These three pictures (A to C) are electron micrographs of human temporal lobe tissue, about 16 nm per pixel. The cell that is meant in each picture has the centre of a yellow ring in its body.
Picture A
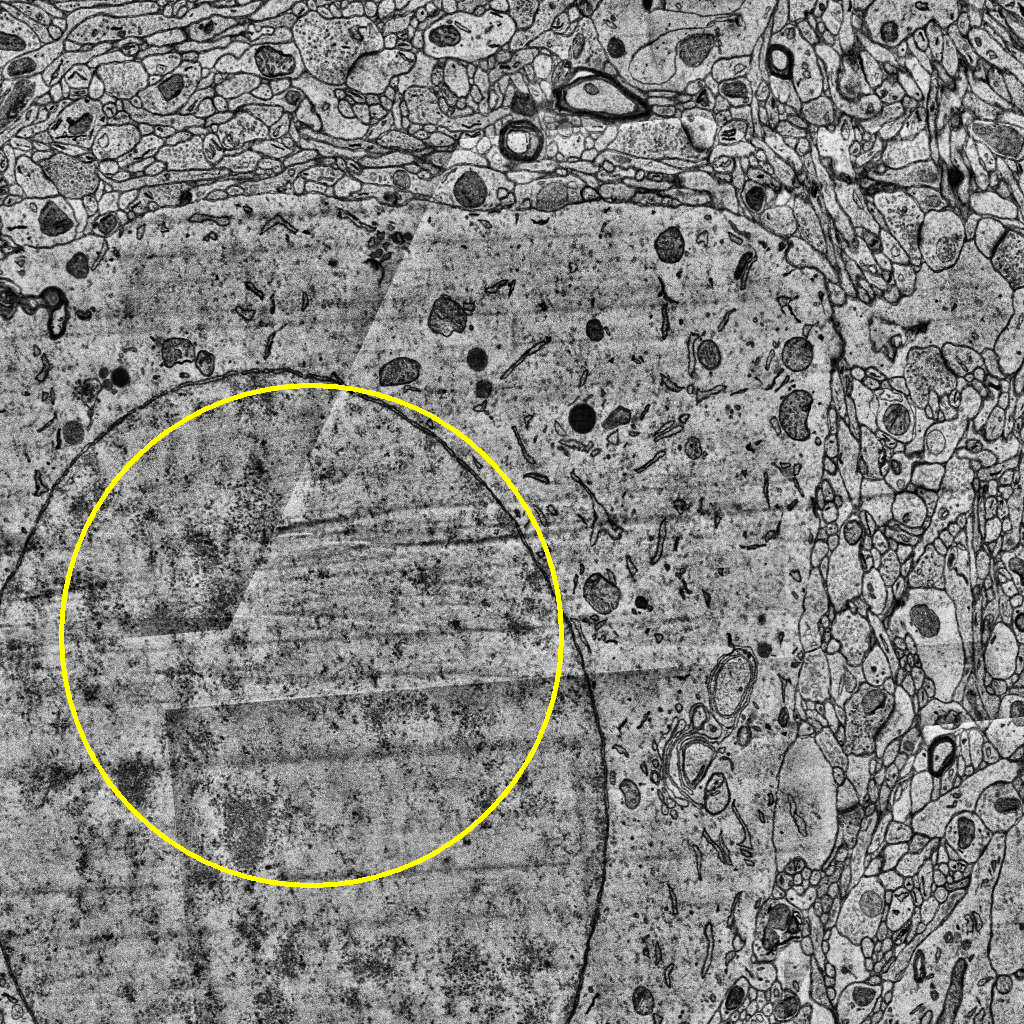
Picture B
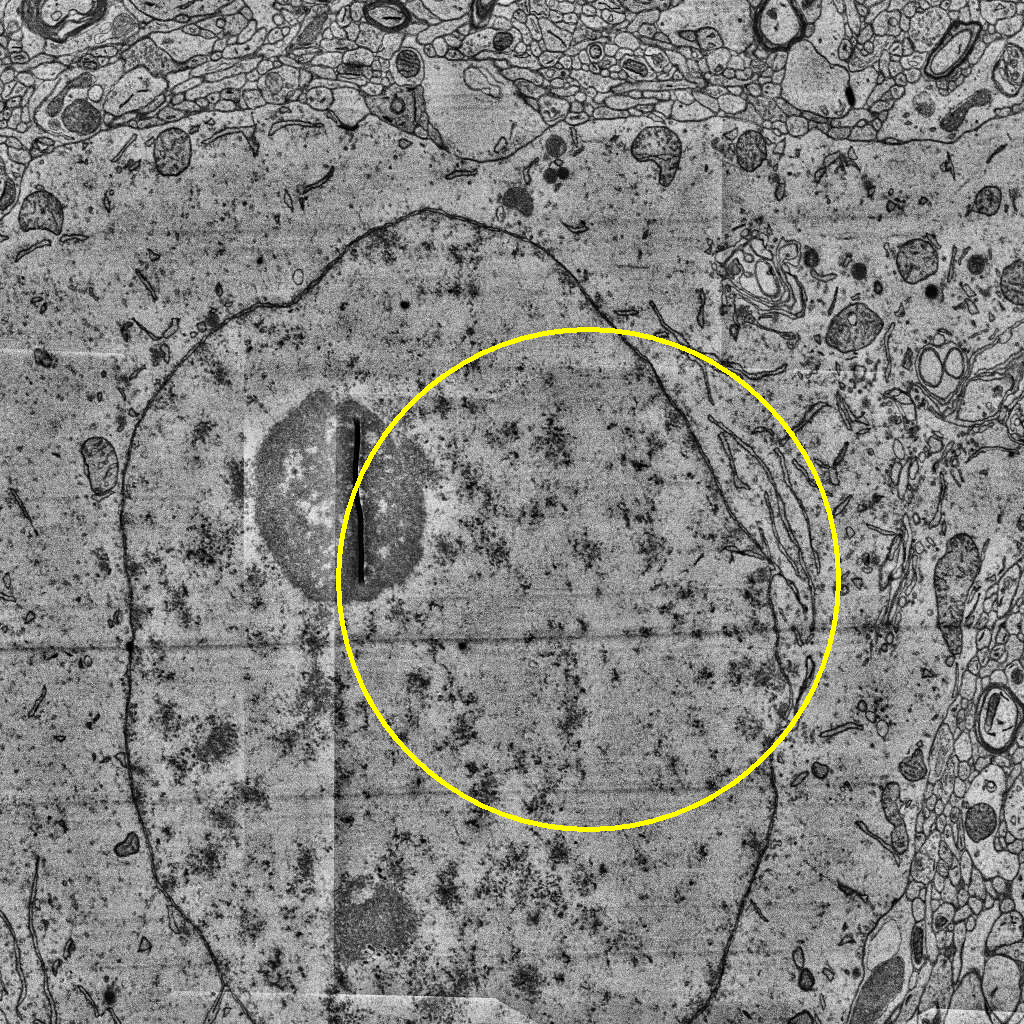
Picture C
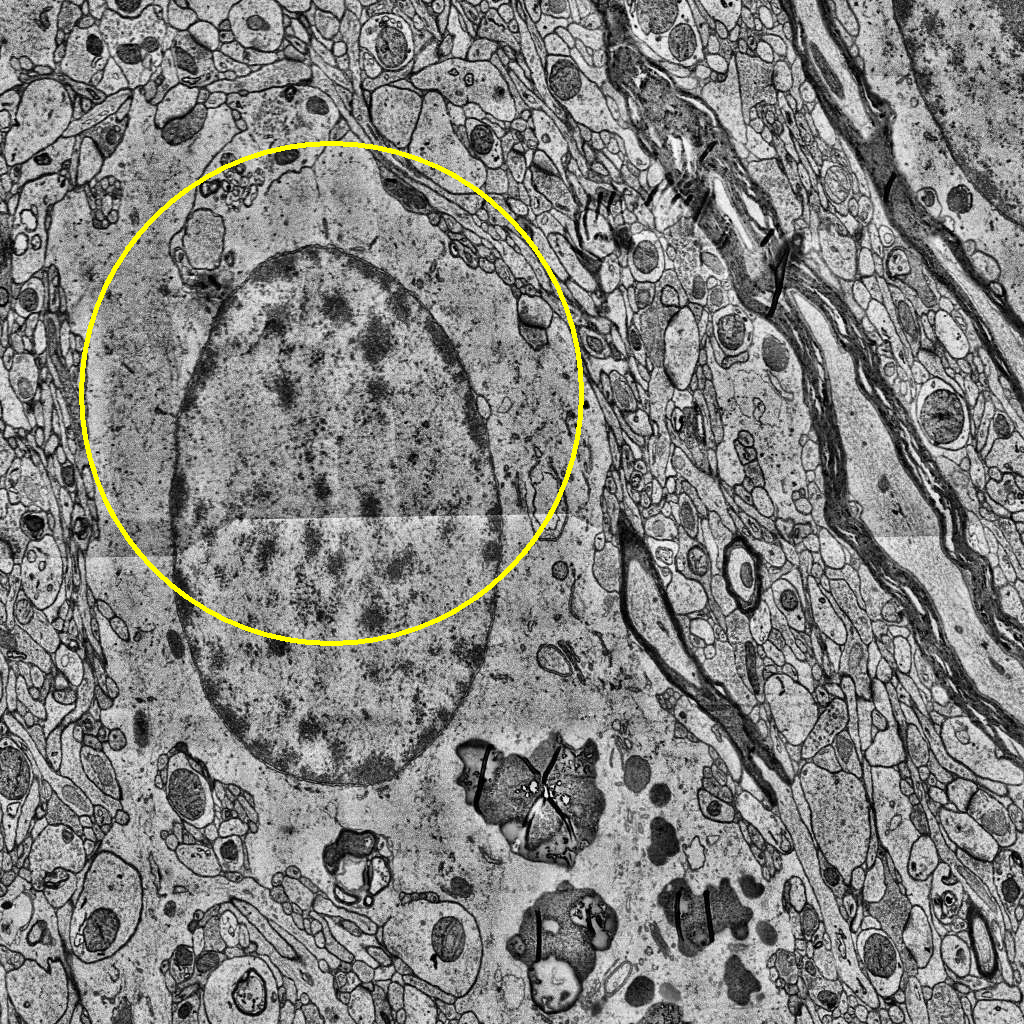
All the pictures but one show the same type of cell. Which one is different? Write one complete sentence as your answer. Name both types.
Picture C differs, because its cell is an astrocyte and the rest are pyramidal neurons.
